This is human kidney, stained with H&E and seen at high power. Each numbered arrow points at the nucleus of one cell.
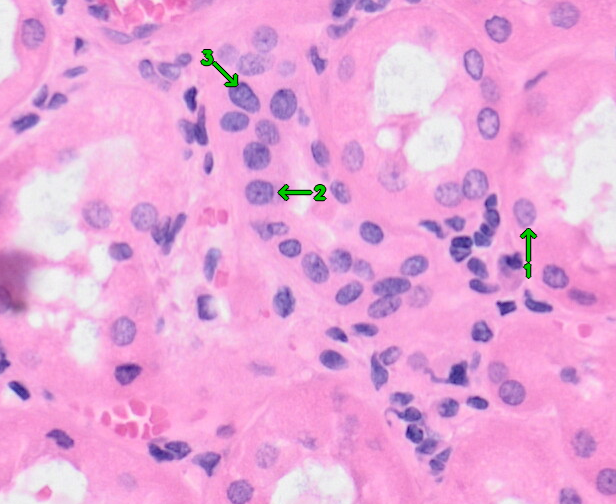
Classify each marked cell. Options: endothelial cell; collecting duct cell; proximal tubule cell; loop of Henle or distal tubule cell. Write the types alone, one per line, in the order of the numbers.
proximal tubule cell
collecting duct cell
collecting duct cell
